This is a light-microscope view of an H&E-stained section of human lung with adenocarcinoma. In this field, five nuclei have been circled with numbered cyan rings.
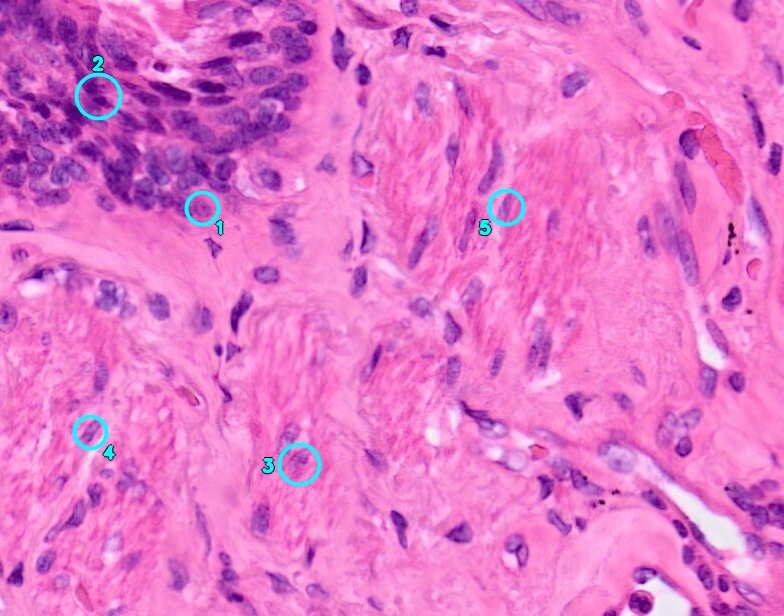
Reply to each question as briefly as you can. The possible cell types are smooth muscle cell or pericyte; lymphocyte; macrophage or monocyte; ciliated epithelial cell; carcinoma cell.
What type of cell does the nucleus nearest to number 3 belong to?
smooth muscle cell or pericyte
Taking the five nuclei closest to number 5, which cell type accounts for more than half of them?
smooth muscle cell or pericyte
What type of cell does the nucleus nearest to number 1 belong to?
ciliated epithelial cell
